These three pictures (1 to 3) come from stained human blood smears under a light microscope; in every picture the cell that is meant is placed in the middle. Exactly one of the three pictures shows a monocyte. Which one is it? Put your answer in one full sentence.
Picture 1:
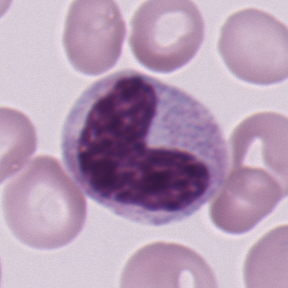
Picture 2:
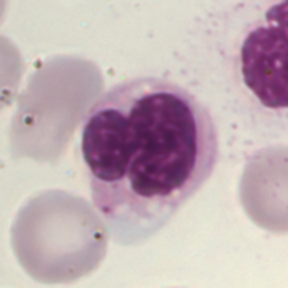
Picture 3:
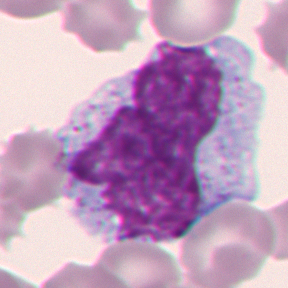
The monocyte is the one in picture 3.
